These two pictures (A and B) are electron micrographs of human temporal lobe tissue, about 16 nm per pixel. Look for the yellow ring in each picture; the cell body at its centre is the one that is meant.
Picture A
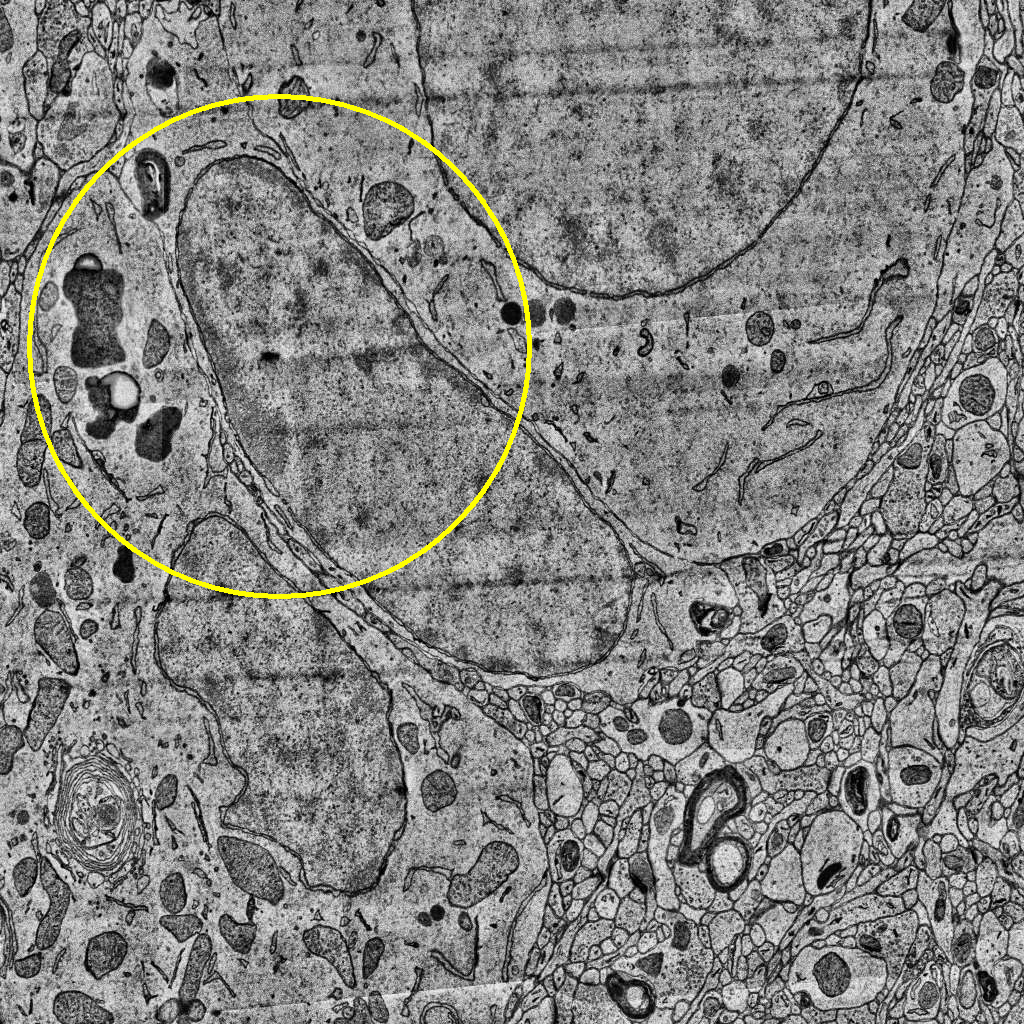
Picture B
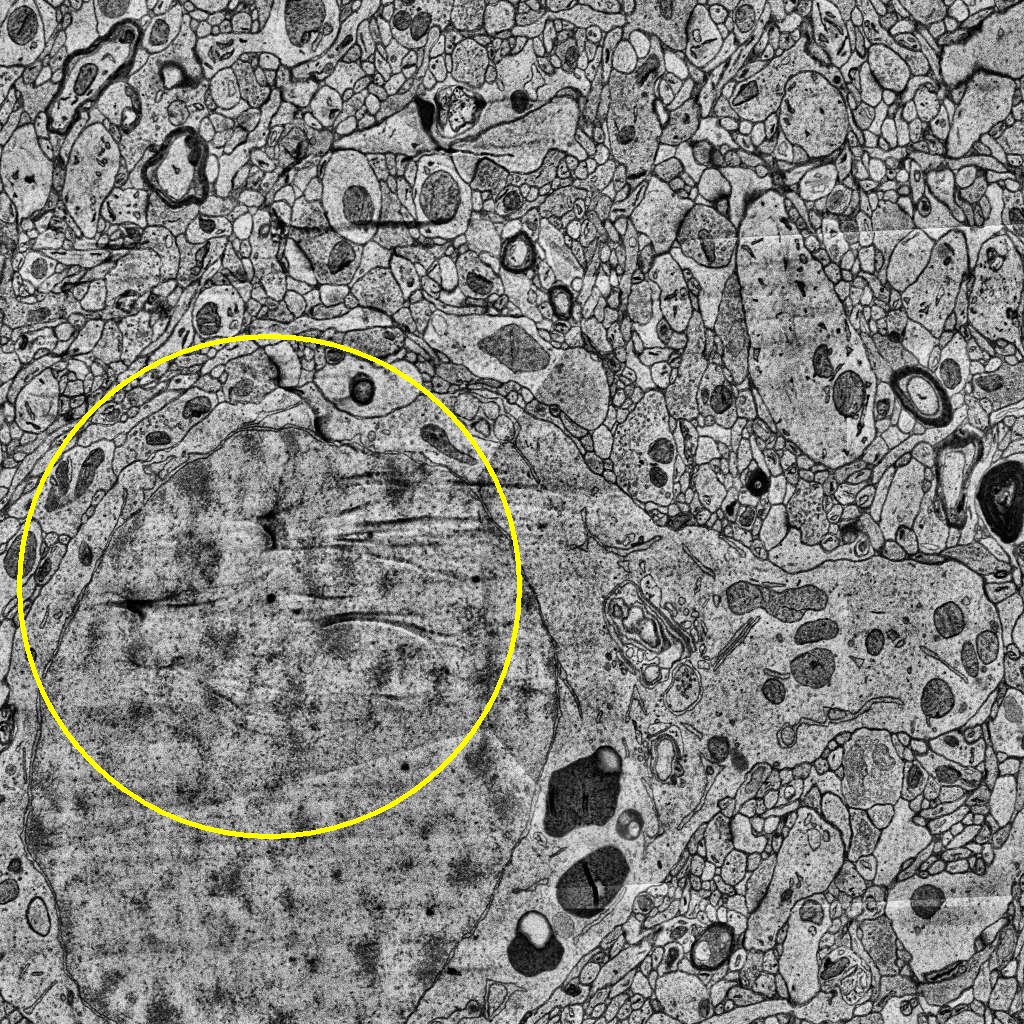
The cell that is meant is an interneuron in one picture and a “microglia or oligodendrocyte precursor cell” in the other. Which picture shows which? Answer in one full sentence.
It is picture A that shows a “microglia or oligodendrocyte precursor cell”, and picture B that shows an interneuron.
